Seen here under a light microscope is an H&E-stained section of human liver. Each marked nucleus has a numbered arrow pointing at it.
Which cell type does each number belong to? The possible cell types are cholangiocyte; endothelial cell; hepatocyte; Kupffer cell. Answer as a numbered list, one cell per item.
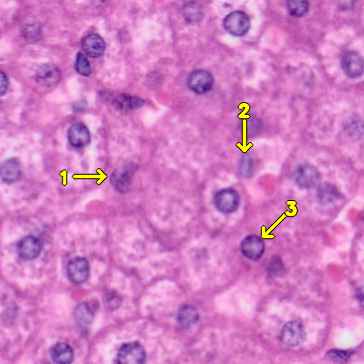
1. endothelial cell
2. Kupffer cell
3. hepatocyte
